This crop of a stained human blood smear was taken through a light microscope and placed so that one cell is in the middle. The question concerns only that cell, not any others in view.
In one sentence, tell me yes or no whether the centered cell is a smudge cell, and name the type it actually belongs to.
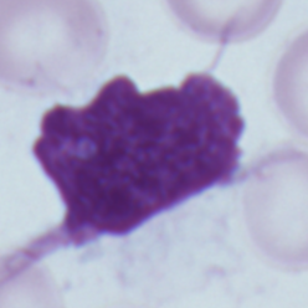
Yes, the centre of the crop holds a smudge cell.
